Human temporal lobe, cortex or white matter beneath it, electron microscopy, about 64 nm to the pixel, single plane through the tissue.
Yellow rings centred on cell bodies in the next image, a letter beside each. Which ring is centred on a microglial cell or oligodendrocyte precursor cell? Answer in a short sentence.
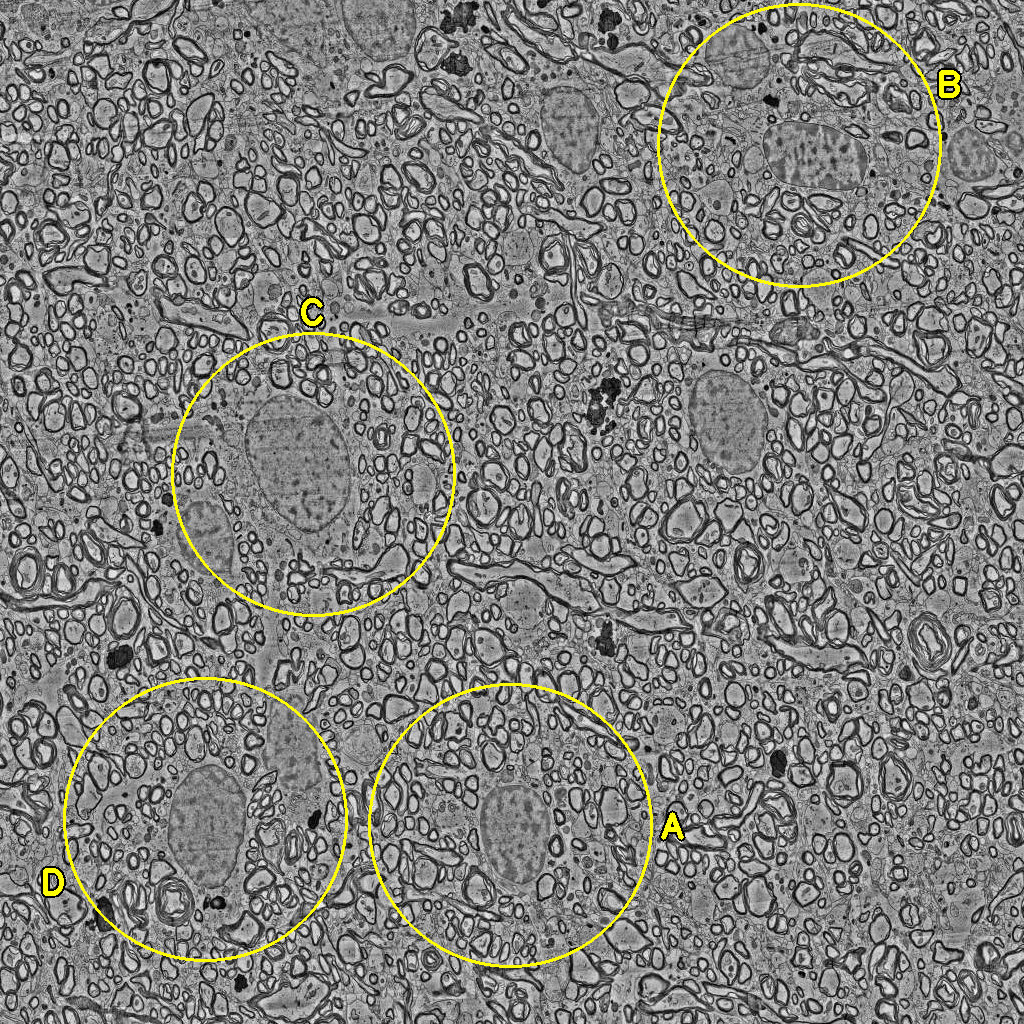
Ring B is centred on it.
